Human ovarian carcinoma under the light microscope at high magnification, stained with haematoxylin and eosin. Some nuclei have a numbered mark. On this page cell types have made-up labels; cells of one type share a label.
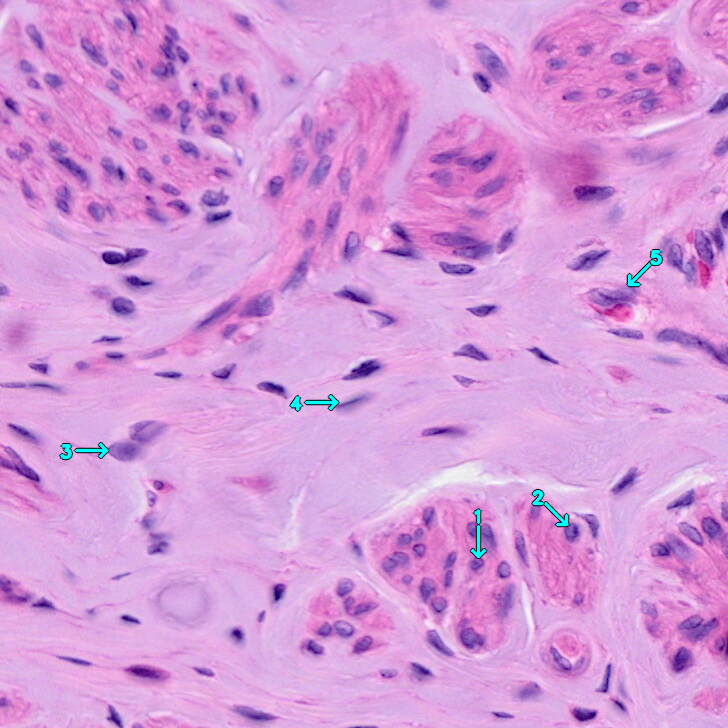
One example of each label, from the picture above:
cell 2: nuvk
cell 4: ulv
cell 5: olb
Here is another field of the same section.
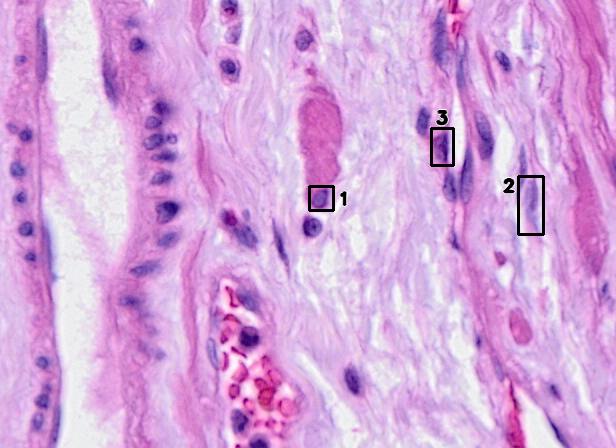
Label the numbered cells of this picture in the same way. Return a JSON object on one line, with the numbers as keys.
{"1": "nuvk", "2": "ulv", "3": "olb"}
